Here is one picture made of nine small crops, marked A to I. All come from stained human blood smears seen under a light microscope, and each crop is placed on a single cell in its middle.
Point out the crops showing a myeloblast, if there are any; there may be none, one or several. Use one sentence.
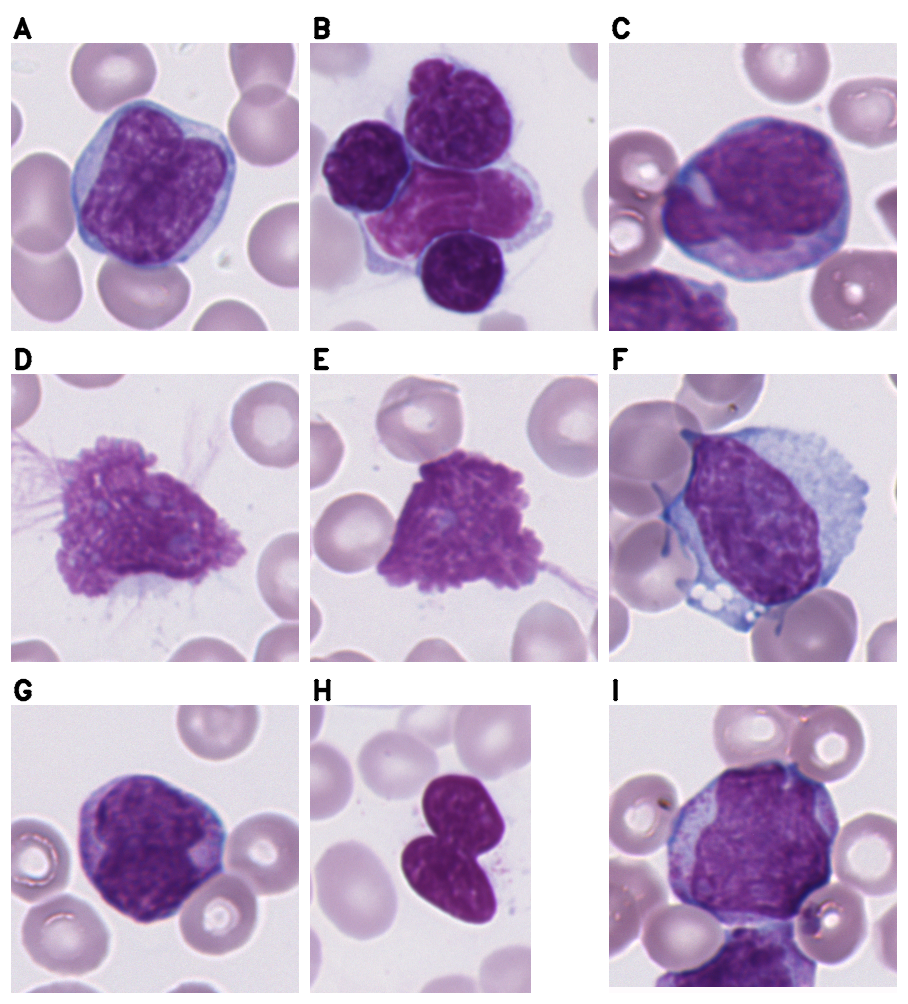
The middle cells of crops A, B and F are myeloblasts.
